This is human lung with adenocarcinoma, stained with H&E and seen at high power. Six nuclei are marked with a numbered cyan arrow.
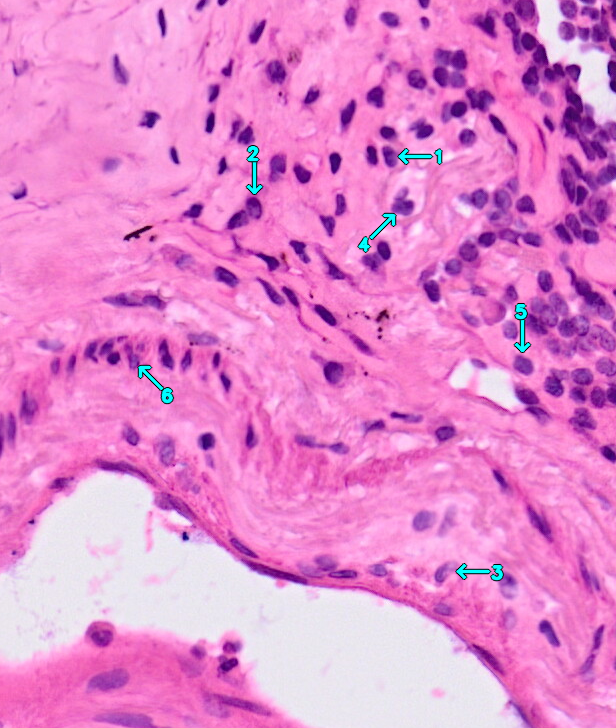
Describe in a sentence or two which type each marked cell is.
Cells 1, 4 and 5 are lymphocytes. Cell 2 is a plasma cell. Cells 3 and 6 are smooth muscle cells or pericytes.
